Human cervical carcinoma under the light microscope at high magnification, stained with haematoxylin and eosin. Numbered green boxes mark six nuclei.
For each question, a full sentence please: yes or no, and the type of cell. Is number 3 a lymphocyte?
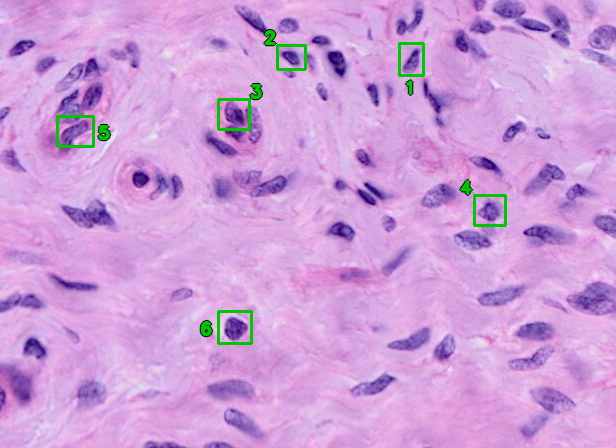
No, cell 3 does not represent a lymphocyte; it represents an endothelial cell.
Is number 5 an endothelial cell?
Yes, as for number 5, the cell is an endothelial cell.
